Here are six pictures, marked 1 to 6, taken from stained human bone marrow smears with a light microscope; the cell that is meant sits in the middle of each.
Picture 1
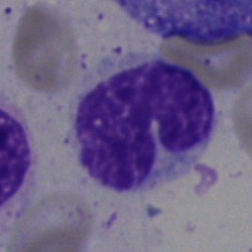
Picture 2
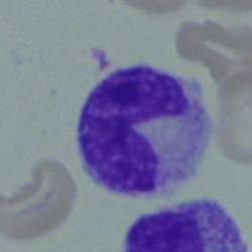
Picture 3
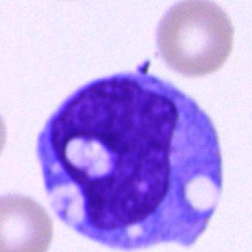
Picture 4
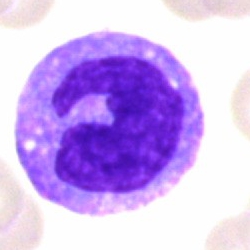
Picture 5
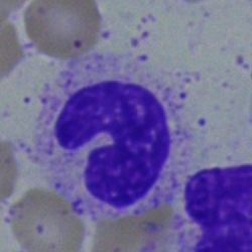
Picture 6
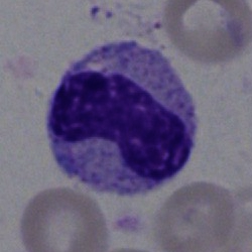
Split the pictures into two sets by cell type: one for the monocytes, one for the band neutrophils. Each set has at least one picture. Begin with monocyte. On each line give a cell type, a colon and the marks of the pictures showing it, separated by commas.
monocyte: 1, 3, 4
band neutrophil: 2, 5, 6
